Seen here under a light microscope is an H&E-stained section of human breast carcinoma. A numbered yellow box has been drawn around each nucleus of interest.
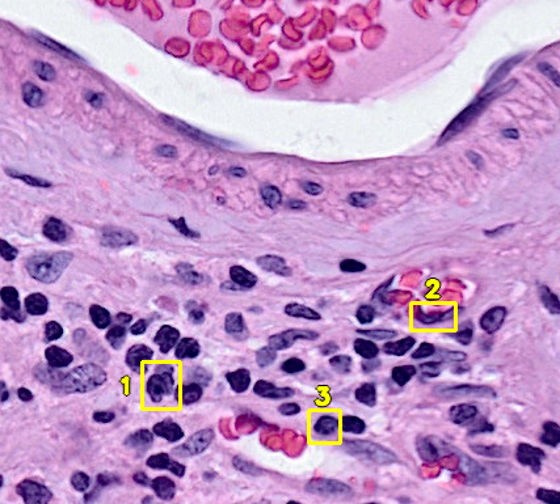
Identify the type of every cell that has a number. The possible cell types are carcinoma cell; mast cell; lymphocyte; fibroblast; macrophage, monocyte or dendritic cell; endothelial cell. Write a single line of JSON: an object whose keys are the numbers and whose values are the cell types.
{"1": "lymphocyte", "2": "endothelial cell", "3": "lymphocyte"}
